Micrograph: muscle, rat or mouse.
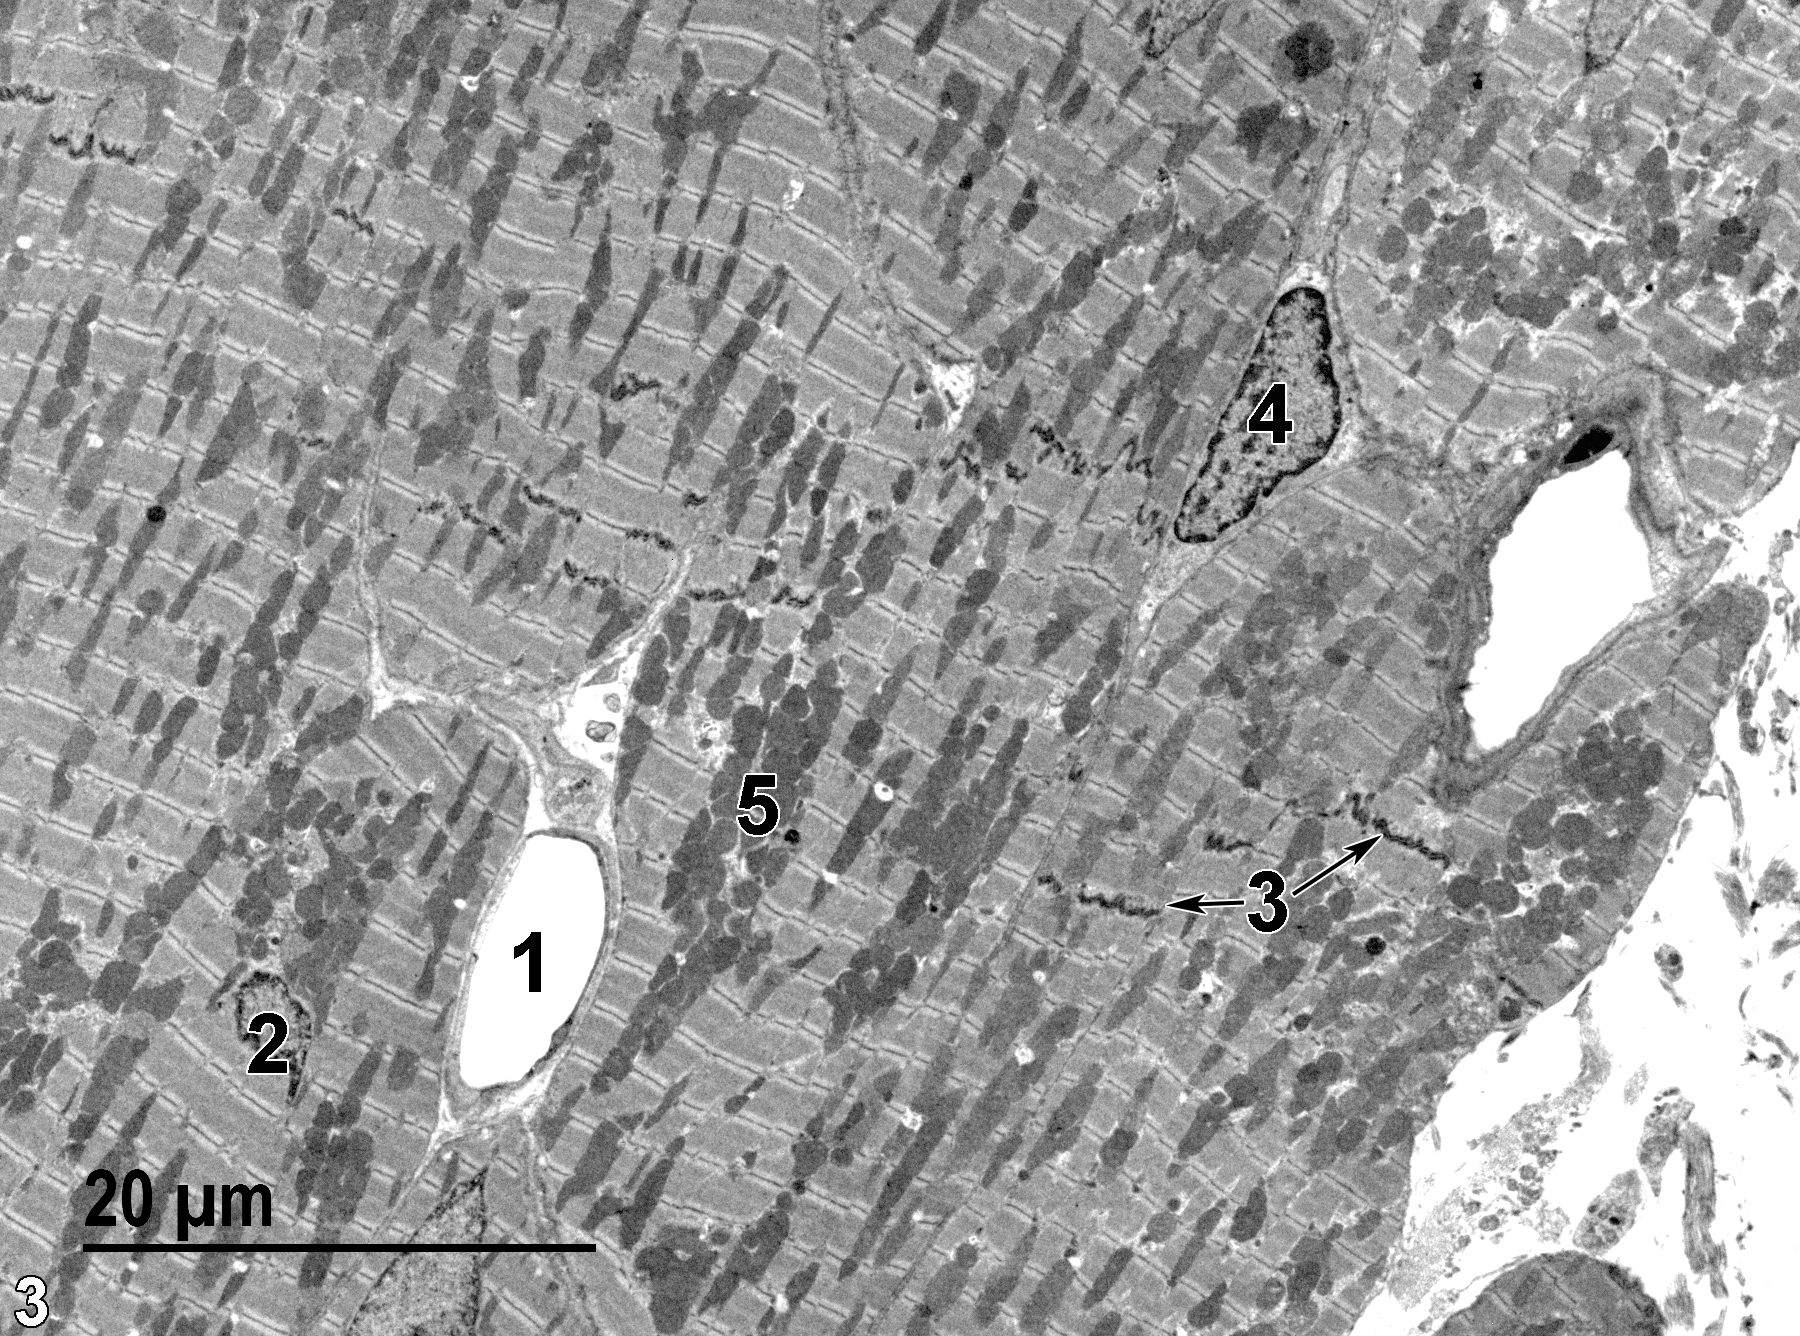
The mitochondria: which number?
The mitochondria: 5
